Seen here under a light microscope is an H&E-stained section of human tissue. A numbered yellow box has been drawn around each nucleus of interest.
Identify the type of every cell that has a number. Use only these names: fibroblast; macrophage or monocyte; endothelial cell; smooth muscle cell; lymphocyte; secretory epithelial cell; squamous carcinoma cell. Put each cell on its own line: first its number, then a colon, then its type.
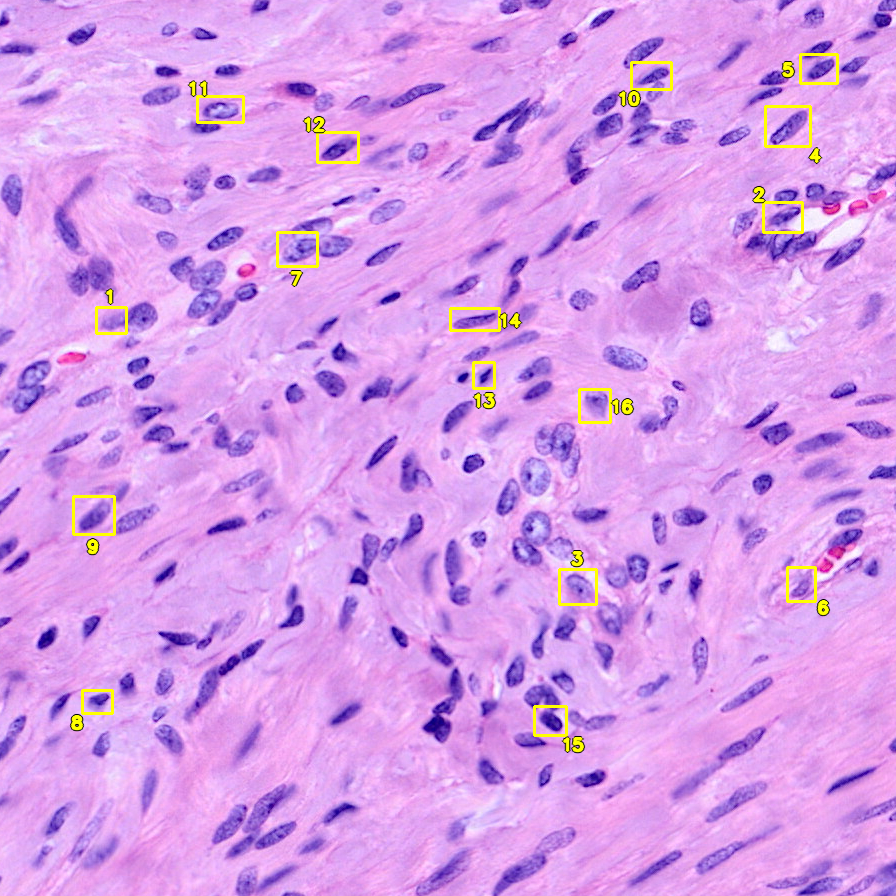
1: endothelial cell
2: endothelial cell
3: endothelial cell
4: fibroblast
5: fibroblast
6: endothelial cell
7: endothelial cell
8: fibroblast
9: fibroblast
10: fibroblast
11: endothelial cell
12: fibroblast
13: fibroblast
14: fibroblast
15: lymphocyte
16: fibroblast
